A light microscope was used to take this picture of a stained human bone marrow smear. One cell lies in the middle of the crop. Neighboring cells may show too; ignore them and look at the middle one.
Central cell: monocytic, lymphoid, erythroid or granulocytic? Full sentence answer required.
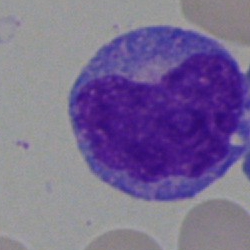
Belonging to the monocytic lineage is the cell positioned in the middle.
